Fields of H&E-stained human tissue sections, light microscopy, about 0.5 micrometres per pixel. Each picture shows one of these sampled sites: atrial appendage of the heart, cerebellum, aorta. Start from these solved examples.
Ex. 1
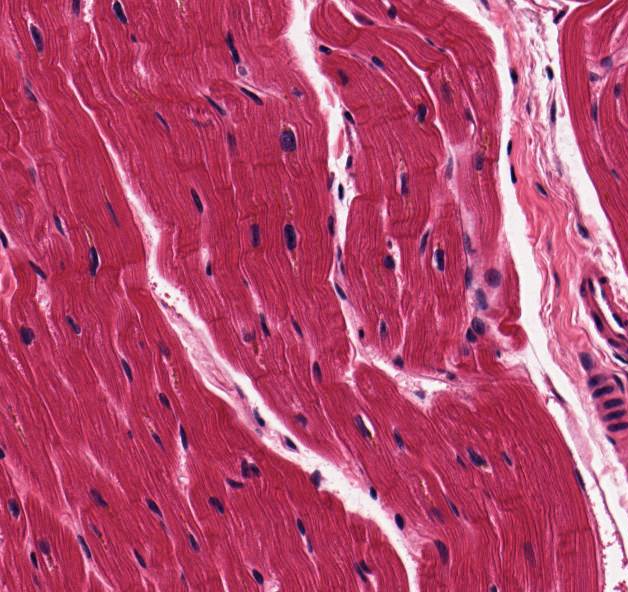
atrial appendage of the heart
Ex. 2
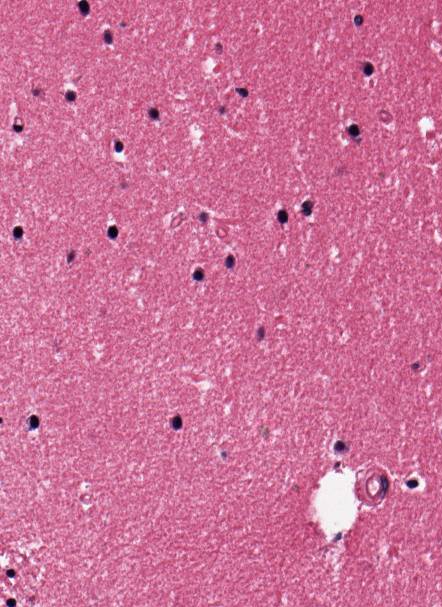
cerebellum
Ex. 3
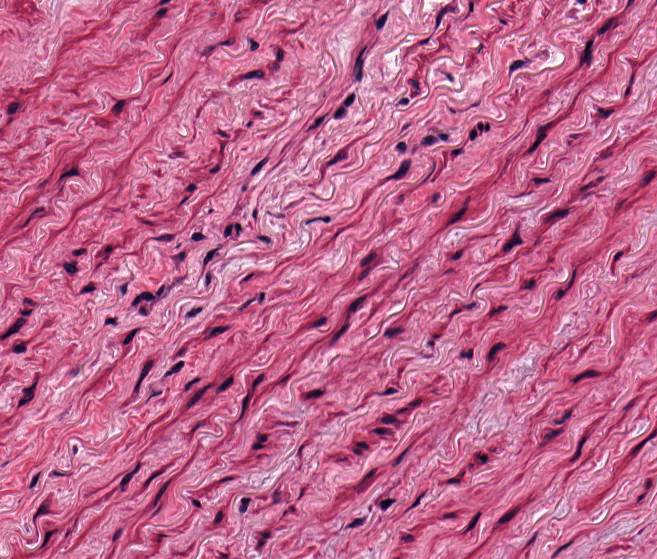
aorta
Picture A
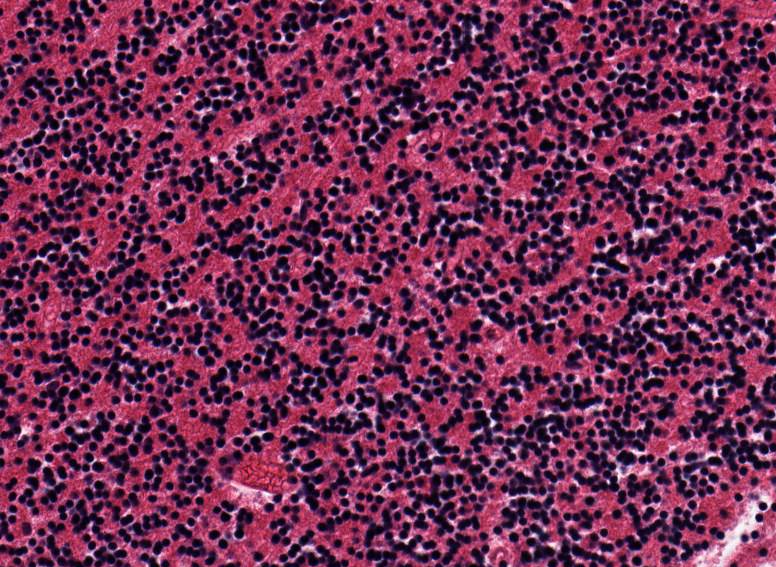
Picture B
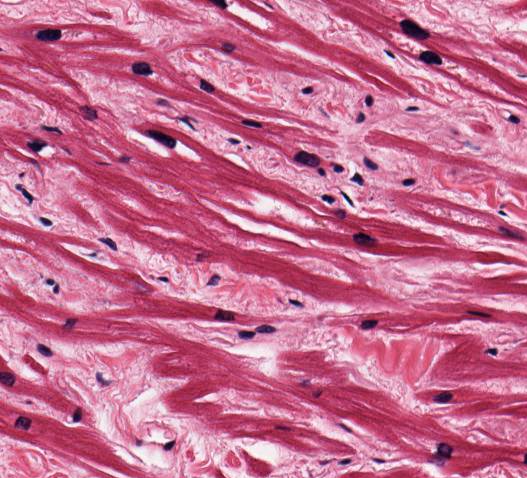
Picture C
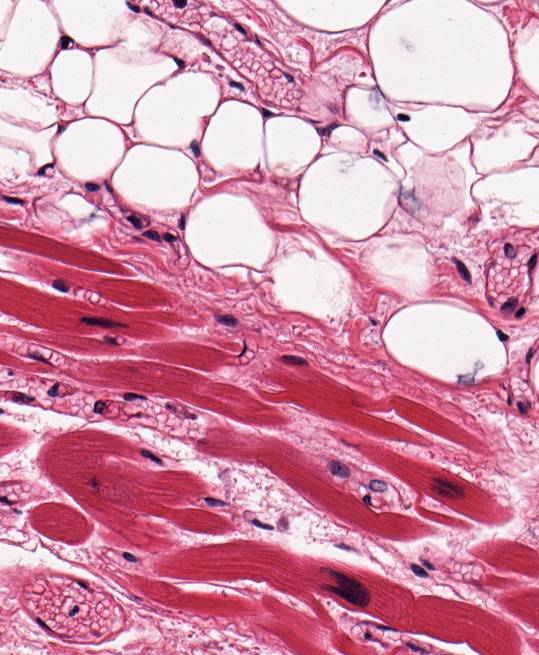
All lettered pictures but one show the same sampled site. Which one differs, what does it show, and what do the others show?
A differs and shows cerebellum; the others show atrial appendage of the heart.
